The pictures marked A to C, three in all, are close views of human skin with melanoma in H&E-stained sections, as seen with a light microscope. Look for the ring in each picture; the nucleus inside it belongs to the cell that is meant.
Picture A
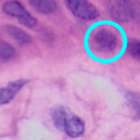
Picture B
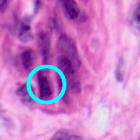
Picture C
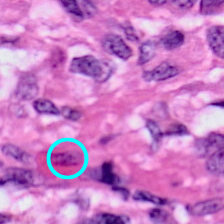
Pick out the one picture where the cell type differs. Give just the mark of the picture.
C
